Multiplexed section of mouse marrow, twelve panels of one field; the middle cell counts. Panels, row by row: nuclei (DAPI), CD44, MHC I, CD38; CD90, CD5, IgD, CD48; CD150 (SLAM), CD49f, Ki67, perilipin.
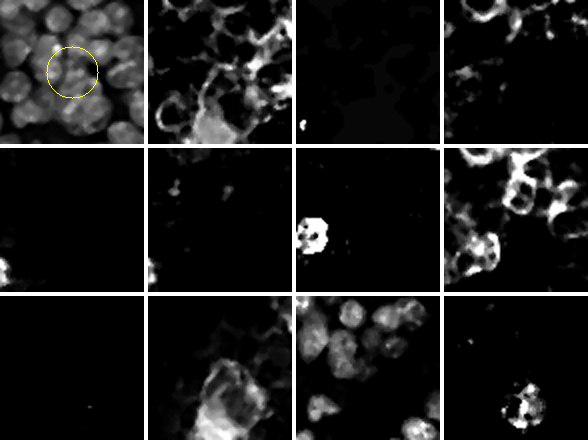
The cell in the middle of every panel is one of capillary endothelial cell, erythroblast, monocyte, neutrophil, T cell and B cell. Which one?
erythroblast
